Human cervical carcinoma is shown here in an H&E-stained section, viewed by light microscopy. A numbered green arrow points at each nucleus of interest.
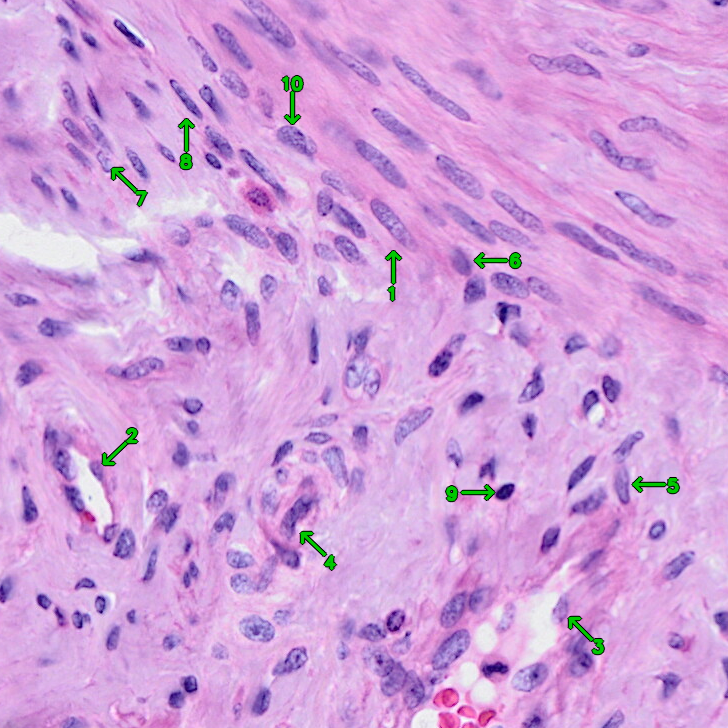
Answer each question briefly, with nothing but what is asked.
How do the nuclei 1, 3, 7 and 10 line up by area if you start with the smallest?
7, 3, 10, 1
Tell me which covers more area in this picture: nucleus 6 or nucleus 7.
6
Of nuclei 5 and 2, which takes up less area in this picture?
2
